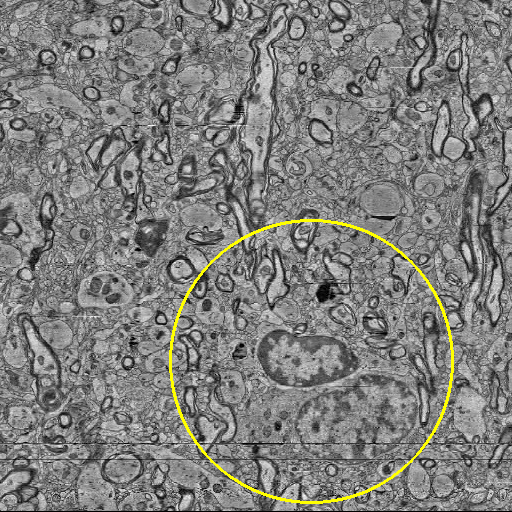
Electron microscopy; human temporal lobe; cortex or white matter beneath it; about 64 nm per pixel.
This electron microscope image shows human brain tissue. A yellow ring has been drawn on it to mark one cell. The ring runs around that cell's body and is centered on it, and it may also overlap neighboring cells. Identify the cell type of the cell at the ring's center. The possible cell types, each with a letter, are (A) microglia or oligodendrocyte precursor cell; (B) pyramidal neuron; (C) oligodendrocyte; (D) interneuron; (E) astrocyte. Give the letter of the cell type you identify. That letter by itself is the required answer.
A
